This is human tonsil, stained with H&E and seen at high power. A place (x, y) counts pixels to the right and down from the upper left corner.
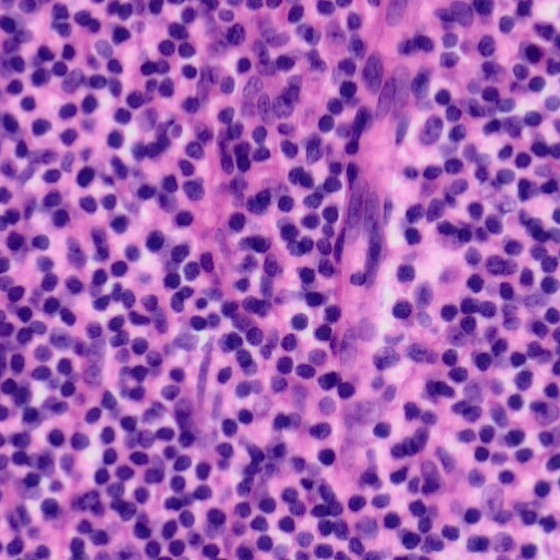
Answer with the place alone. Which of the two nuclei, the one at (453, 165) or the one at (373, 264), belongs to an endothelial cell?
(373, 264)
